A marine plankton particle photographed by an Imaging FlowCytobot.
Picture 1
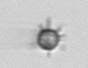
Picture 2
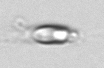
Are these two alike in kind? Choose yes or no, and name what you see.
No. First Rhabdosphaera, second Chrysochromulina parkeae.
